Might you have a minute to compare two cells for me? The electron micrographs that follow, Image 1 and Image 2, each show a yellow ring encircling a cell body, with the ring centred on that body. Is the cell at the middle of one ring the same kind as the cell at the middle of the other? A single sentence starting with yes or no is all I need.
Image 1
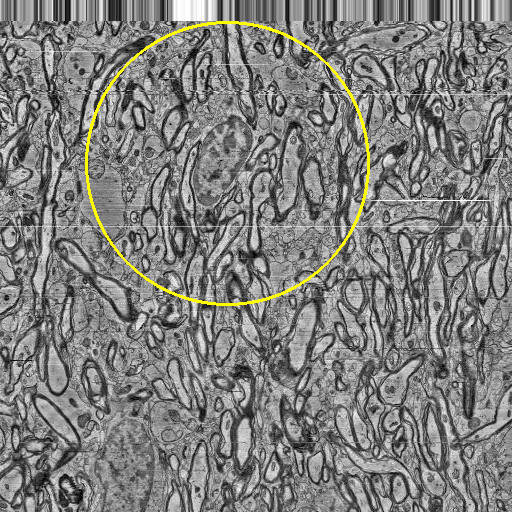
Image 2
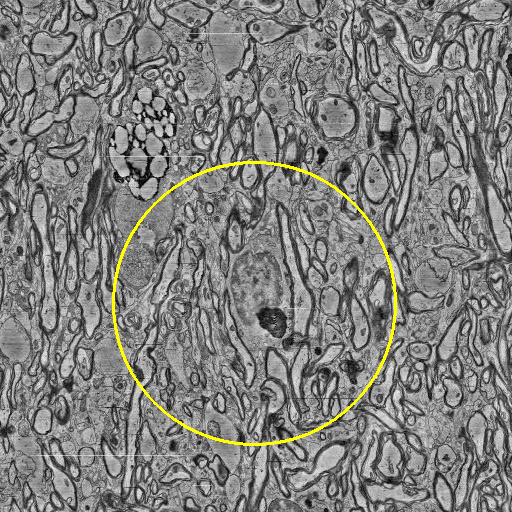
No, the cells in the middle of the two rings are of two separate kinds.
